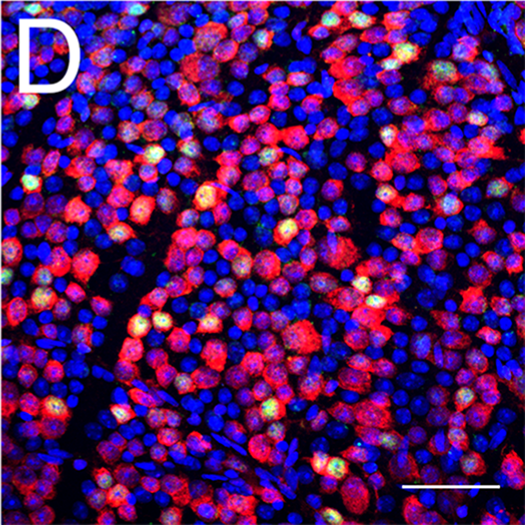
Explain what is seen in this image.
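Between the red somata lie smaller, blue-only nuclei of cells that are not red. Dark, cell-free streaks run across the field, and along them, especially at lower left, lie narrow elongated blue nuclei. The cells form a single dense mosaic with little space between them.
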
